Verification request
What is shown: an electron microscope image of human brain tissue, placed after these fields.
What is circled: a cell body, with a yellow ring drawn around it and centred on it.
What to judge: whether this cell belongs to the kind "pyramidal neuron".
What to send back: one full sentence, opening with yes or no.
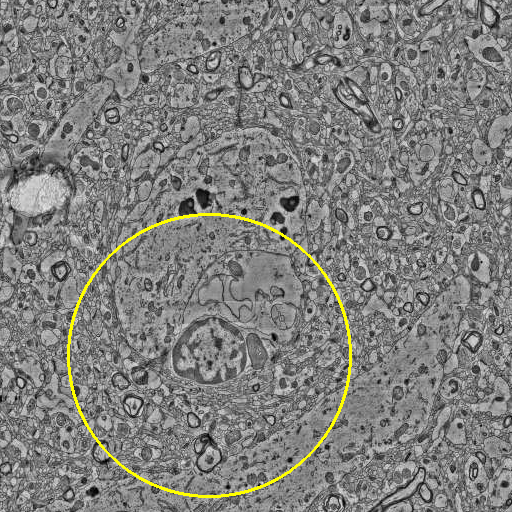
No, the cell on which the yellow ring is centred in the picture is of a different kind.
